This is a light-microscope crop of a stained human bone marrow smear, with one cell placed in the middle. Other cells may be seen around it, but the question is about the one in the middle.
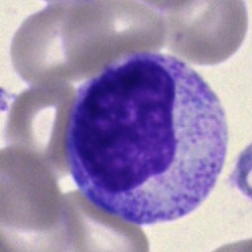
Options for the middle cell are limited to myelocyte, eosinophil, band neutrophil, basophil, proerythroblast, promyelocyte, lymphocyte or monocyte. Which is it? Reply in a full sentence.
The centrally located cell in the crop is a myelocyte.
